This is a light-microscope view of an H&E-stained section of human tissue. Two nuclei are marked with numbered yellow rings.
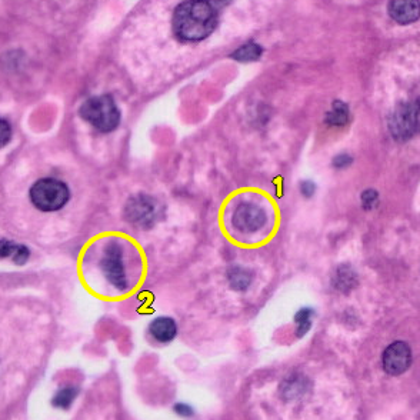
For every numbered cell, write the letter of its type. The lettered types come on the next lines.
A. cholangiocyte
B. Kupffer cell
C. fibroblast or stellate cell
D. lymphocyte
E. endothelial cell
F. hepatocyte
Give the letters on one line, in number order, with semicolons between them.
F; C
